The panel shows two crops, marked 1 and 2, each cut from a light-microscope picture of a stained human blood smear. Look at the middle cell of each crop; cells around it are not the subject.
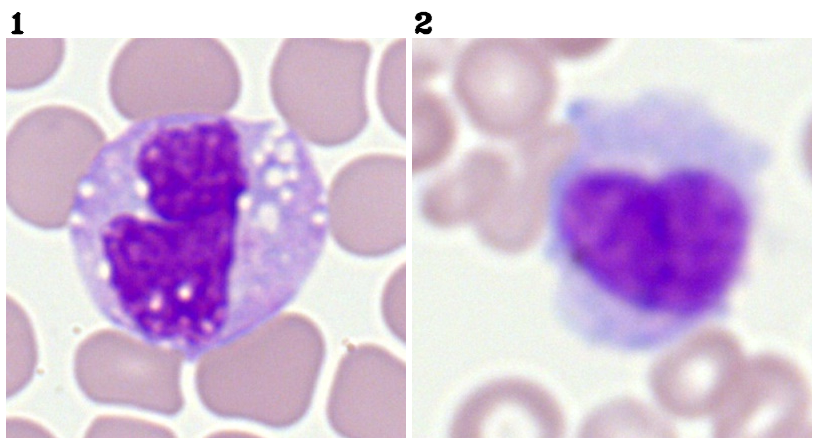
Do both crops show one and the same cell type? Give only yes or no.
yes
